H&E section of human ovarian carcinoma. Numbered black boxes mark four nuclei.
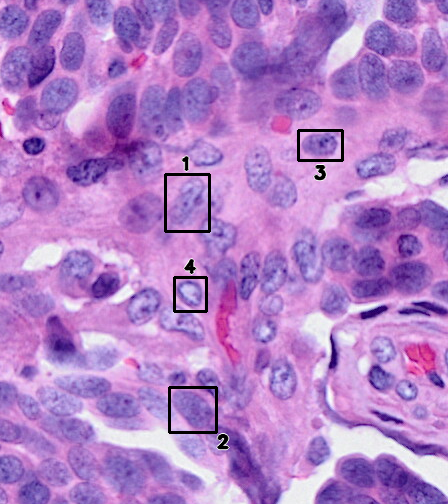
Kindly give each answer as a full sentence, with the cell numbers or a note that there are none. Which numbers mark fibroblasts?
Cells numbered 1 and 4 belong to the group of fibroblasts.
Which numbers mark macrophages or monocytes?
Only one marked cell, number 3, is a macrophage or monocyte.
